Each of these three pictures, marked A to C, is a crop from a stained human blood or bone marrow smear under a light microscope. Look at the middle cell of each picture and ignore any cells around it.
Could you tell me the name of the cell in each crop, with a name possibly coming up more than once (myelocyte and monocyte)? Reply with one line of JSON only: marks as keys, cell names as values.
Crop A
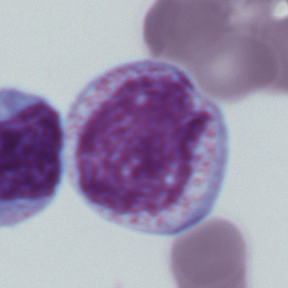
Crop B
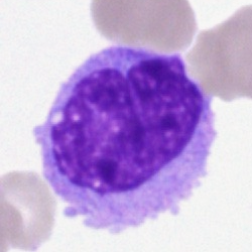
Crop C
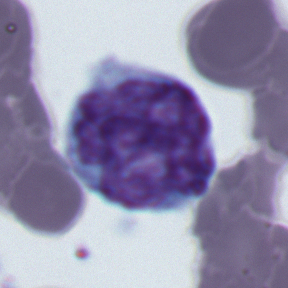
{"A": "myelocyte", "B": "monocyte", "C": "monocyte"}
